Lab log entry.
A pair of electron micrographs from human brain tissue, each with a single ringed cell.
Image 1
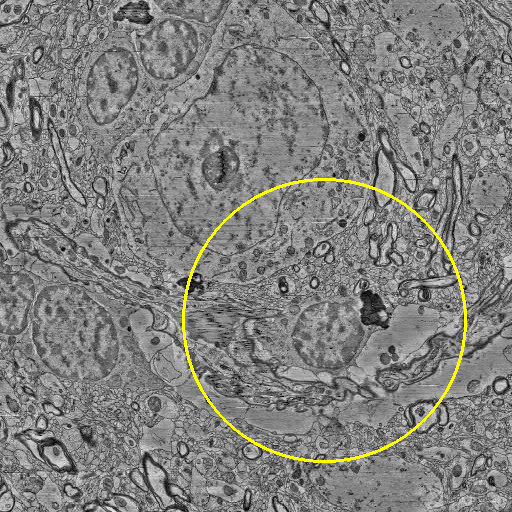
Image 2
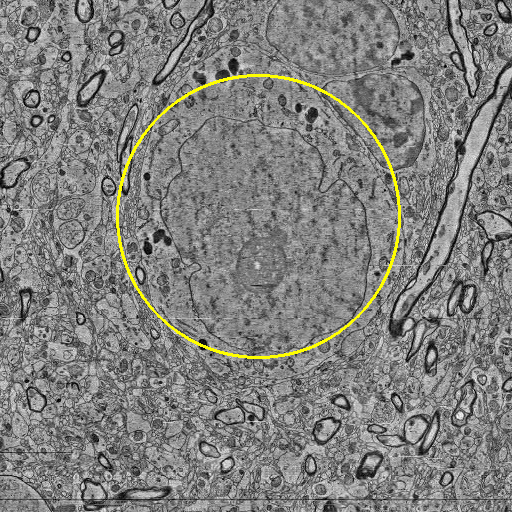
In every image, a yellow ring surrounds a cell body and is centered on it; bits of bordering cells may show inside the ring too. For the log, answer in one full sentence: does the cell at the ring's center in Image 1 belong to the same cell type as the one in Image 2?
No, the cells at the ring centers in Image 1 and Image 2 are of separate types.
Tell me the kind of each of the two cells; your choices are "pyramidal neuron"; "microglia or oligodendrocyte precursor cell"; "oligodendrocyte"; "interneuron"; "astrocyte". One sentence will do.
The ringed cell is an oligodendrocyte in the first picture and a pyramidal neuron in the second picture.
